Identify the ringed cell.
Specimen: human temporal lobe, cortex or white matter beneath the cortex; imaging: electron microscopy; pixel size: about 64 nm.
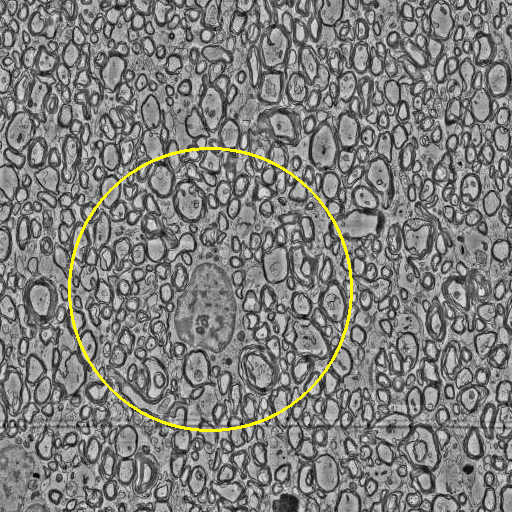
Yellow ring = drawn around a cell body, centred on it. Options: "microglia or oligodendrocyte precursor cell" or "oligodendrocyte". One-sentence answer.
What the ring is centred on is an oligodendrocyte.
